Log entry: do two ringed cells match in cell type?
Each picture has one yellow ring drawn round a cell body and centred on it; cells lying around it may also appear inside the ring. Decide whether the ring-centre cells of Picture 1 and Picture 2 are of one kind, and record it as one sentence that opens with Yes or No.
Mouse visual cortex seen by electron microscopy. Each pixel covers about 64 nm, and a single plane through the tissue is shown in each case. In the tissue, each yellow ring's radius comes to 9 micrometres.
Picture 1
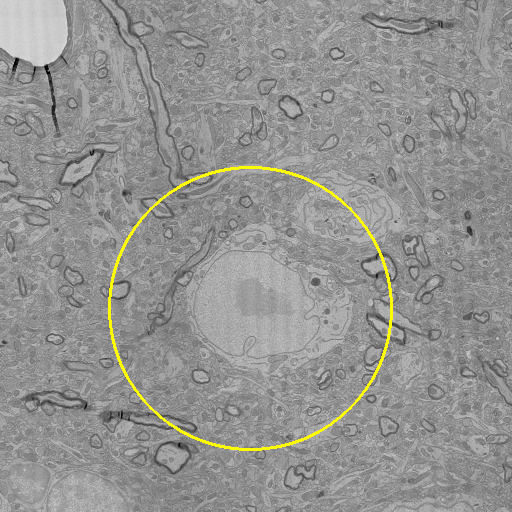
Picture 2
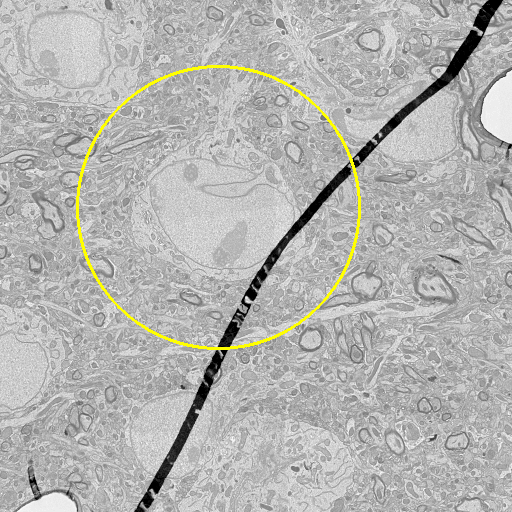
Yes, the cells at the ring centres of the two pictures belong to one kind.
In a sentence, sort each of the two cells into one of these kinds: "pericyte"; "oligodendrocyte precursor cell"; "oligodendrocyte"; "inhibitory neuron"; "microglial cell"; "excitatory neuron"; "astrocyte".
Each of the two cells is an excitatory neuron.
